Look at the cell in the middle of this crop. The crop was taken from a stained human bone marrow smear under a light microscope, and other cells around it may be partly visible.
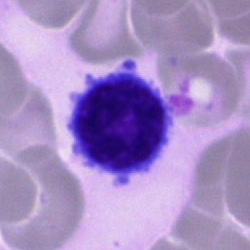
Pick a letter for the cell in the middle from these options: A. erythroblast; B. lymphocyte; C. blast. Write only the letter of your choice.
B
